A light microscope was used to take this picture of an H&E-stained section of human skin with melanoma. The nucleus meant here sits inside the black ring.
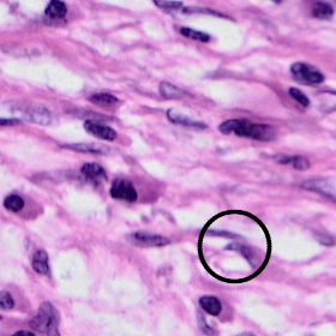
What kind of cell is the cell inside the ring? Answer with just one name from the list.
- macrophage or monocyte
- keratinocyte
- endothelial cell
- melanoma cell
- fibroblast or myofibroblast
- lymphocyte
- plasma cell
fibroblast or myofibroblast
